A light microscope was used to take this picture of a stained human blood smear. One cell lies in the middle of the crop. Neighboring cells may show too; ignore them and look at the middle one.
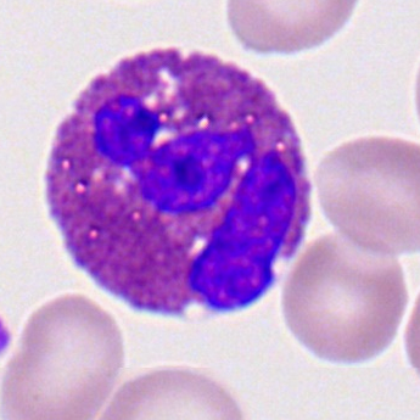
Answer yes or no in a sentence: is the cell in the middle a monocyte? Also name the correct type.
No, the centre cell is not a monocyte but an eosinophil.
